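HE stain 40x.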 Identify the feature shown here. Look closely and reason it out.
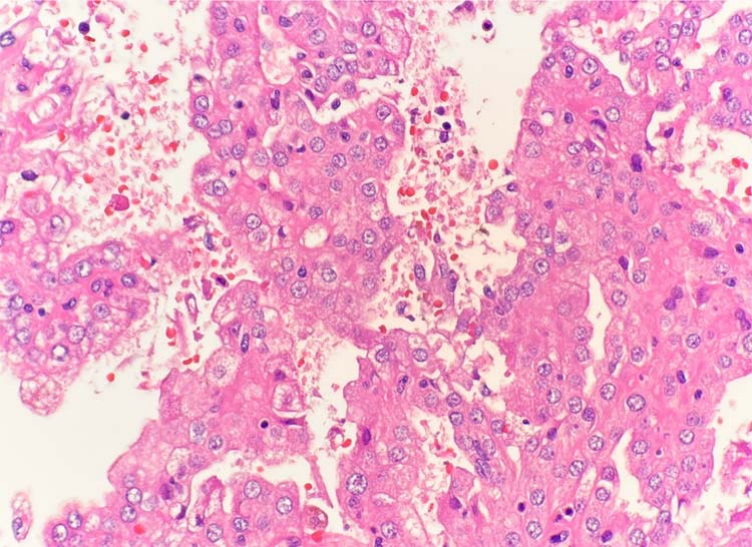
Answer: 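The tumor cells form branching fronds and projections. The fronds are separated by open spaces that contain scattered red blood cells.
Conclusion: papillary architecture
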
